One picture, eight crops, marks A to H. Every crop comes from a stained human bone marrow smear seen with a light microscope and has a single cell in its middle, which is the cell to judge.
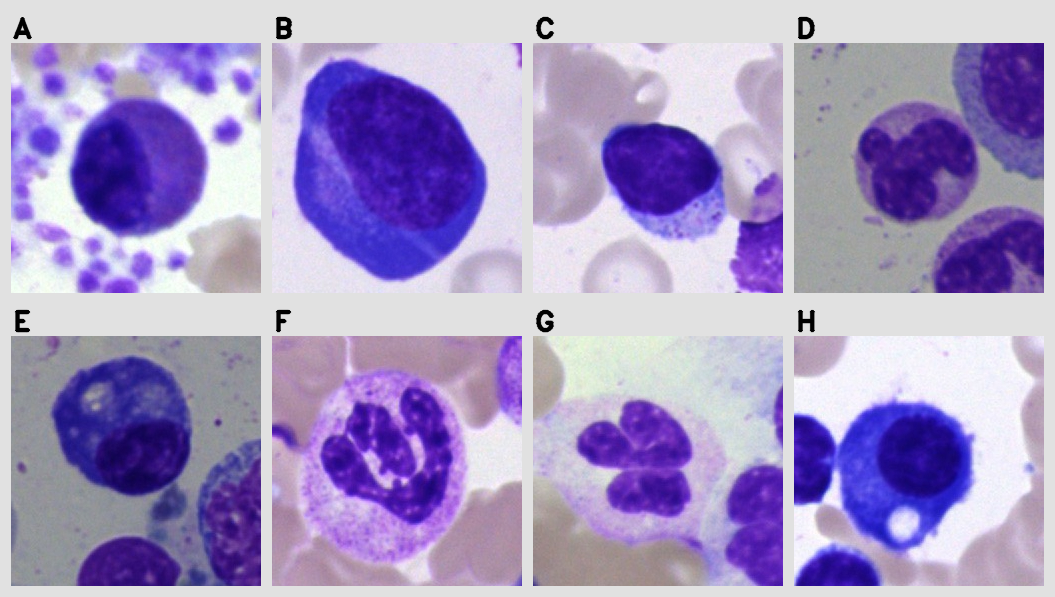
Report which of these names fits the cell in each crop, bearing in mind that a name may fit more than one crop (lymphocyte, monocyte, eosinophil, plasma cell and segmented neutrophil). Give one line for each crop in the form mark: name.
A: eosinophil
B: plasma cell
C: lymphocyte
D: segmented neutrophil
E: plasma cell
F: segmented neutrophil
G: segmented neutrophil
H: plasma cell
